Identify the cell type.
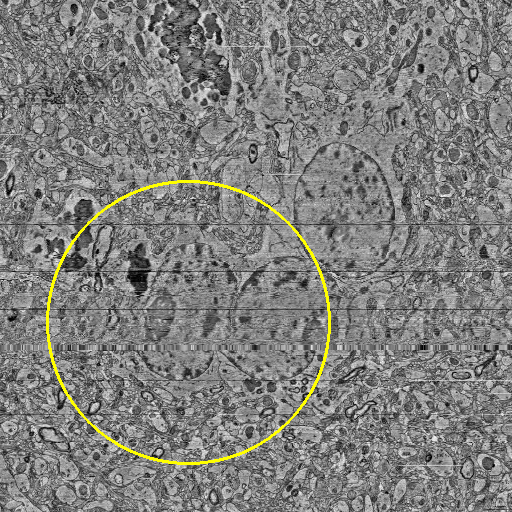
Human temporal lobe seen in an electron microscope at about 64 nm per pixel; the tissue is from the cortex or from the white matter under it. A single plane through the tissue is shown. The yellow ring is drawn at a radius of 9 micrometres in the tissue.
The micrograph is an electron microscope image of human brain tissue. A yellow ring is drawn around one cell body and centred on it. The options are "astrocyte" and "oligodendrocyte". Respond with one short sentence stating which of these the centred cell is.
The cell body in the ring belongs to an astrocyte.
